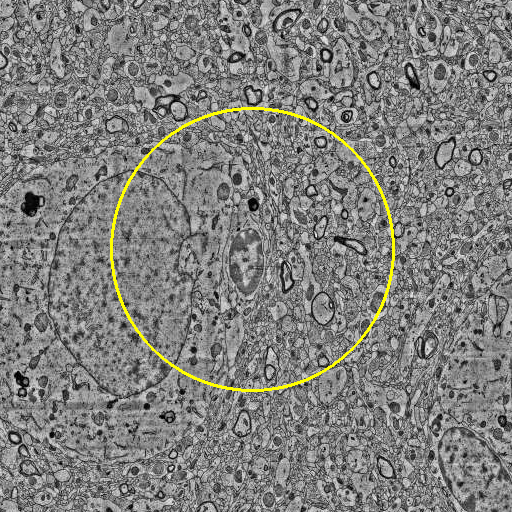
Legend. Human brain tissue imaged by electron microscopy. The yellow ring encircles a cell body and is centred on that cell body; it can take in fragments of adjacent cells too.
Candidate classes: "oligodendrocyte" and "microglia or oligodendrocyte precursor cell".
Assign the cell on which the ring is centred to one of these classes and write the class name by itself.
microglia or oligodendrocyte precursor cell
